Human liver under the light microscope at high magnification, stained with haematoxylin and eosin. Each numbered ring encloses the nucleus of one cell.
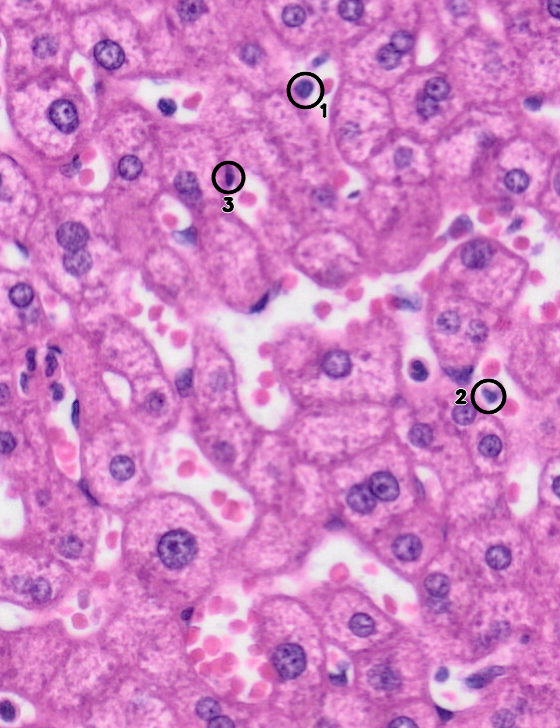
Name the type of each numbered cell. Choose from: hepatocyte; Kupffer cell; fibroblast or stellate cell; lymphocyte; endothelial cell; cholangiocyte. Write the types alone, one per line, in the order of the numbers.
lymphocyte
lymphocyte
fibroblast or stellate cell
